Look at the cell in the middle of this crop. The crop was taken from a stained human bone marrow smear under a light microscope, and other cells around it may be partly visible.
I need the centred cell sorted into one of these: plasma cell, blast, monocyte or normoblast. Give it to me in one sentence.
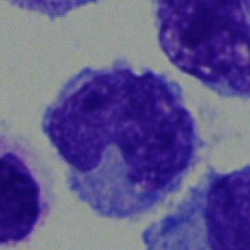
For this crop, the central cell is a monocyte.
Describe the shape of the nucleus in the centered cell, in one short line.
Between us, the nucleus here is just one compact mass, round, oval or kidney-shaped.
